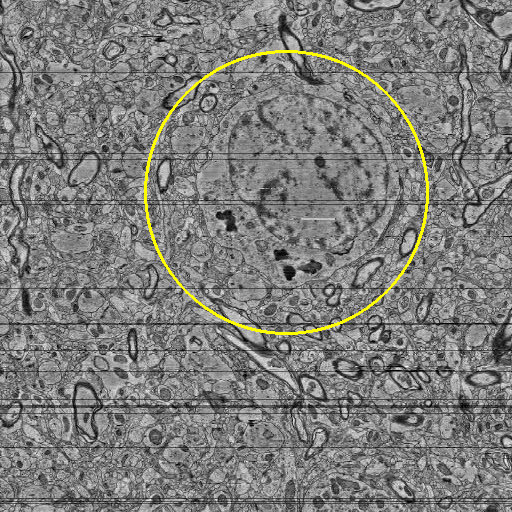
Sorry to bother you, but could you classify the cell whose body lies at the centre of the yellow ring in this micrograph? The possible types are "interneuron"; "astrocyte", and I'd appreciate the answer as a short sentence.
The ringed cell body is that of an interneuron.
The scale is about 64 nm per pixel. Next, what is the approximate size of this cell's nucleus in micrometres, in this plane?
The nucleus is about 10 micrometres across in this plane.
